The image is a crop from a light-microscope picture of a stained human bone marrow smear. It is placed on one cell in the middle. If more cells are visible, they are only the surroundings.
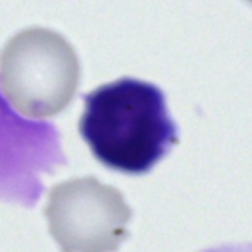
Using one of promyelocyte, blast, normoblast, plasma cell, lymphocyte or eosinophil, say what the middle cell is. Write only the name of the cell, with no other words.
lymphocyte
